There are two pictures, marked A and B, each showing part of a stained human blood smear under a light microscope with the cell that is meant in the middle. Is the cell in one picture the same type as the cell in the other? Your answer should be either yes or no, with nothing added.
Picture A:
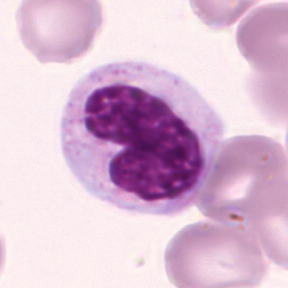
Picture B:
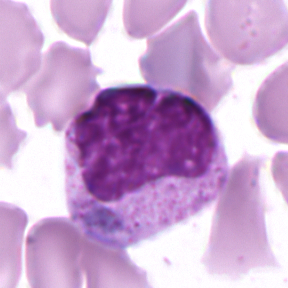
yes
